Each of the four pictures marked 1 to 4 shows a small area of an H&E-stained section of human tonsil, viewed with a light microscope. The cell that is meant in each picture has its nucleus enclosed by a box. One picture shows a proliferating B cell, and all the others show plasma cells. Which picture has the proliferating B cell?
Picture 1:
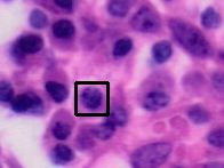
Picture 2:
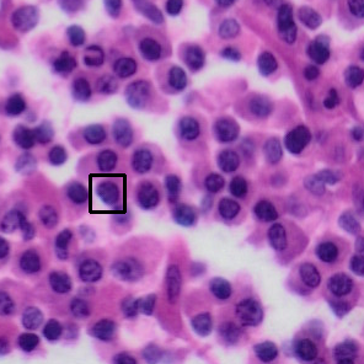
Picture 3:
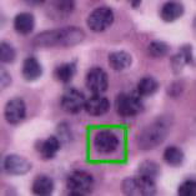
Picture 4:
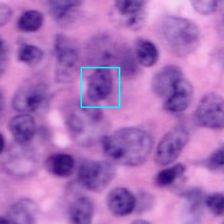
4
